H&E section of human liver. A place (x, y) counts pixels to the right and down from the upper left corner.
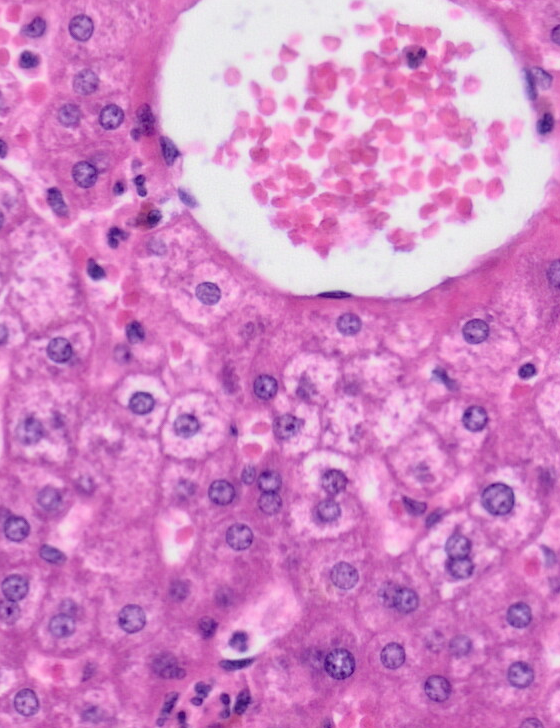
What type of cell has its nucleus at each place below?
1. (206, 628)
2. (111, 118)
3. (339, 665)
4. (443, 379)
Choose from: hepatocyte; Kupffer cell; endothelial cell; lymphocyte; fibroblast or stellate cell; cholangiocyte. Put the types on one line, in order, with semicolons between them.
fibroblast or stellate cell; hepatocyte; hepatocyte; endothelial cell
